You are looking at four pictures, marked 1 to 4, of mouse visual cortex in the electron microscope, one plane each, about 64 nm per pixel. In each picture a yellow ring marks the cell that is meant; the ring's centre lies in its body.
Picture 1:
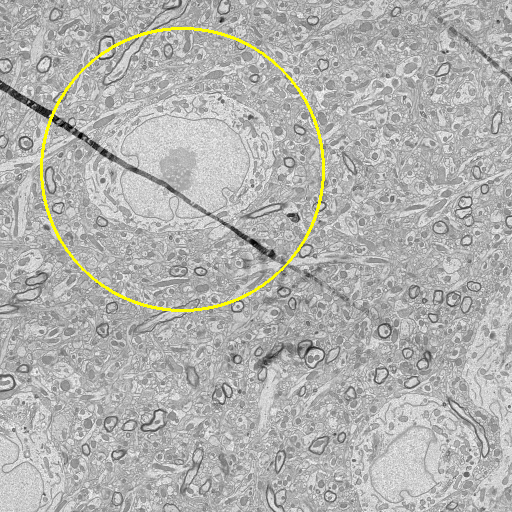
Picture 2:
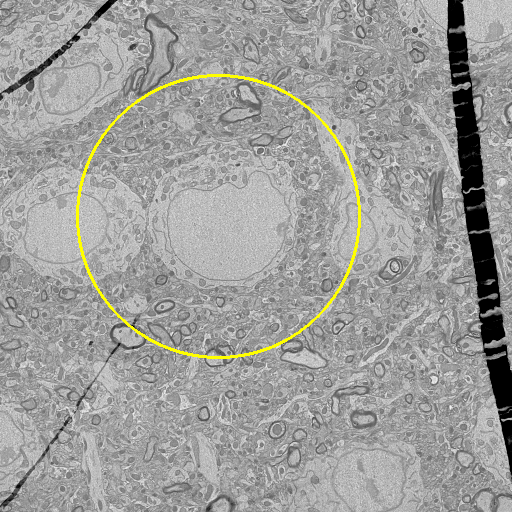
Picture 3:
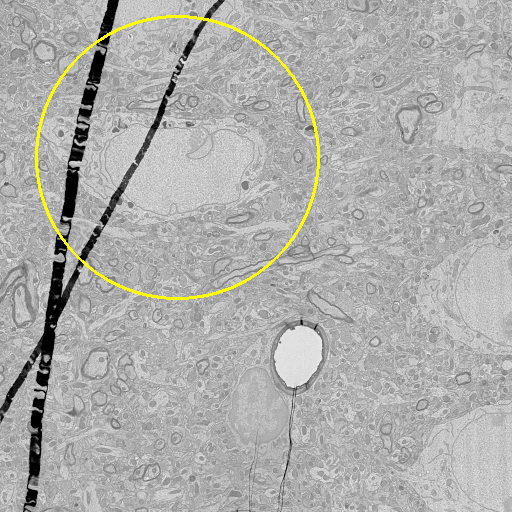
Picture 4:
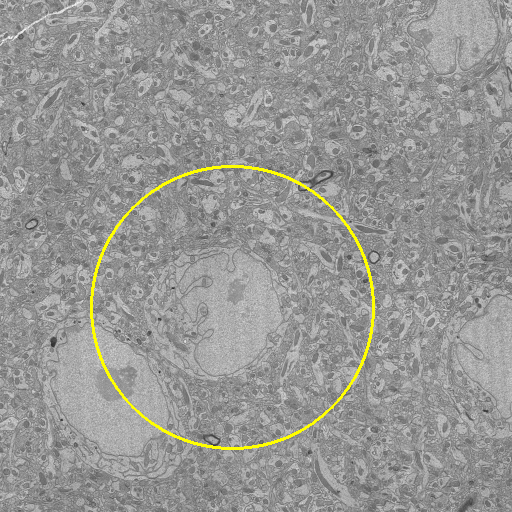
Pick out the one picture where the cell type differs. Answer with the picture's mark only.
2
